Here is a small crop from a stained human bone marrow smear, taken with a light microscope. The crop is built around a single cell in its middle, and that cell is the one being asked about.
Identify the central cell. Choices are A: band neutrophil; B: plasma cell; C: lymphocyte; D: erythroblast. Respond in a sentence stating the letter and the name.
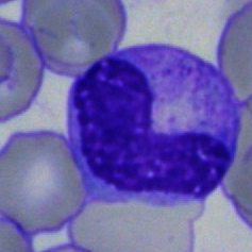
The centrally positioned cell is a band neutrophil, consistent with option A, which is correct.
